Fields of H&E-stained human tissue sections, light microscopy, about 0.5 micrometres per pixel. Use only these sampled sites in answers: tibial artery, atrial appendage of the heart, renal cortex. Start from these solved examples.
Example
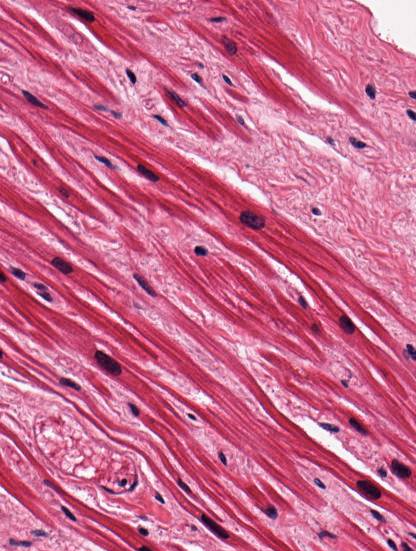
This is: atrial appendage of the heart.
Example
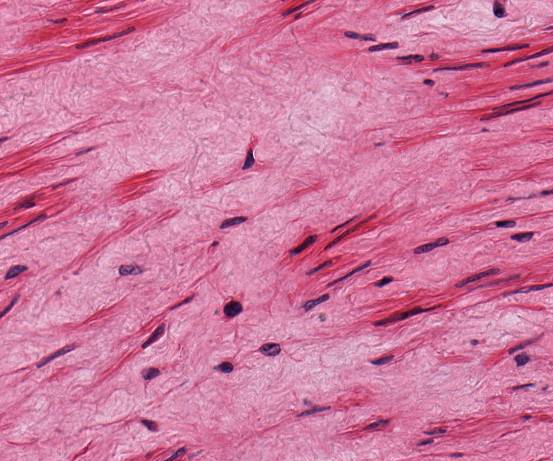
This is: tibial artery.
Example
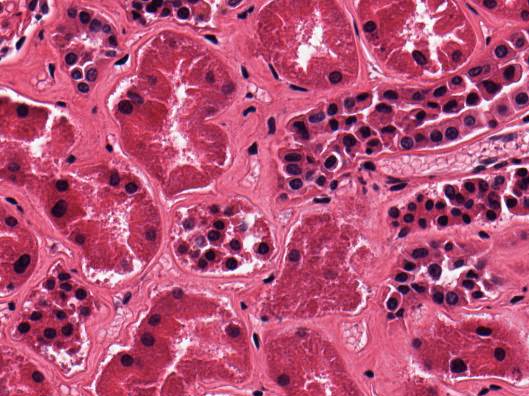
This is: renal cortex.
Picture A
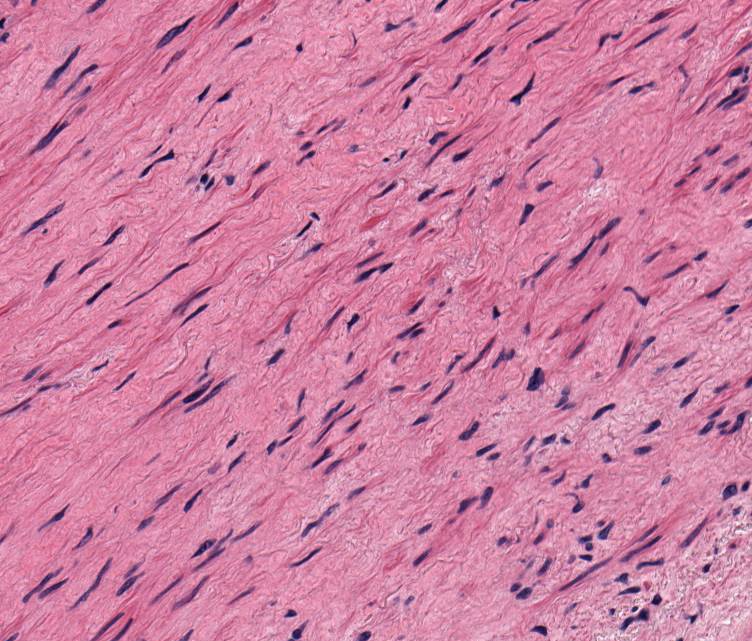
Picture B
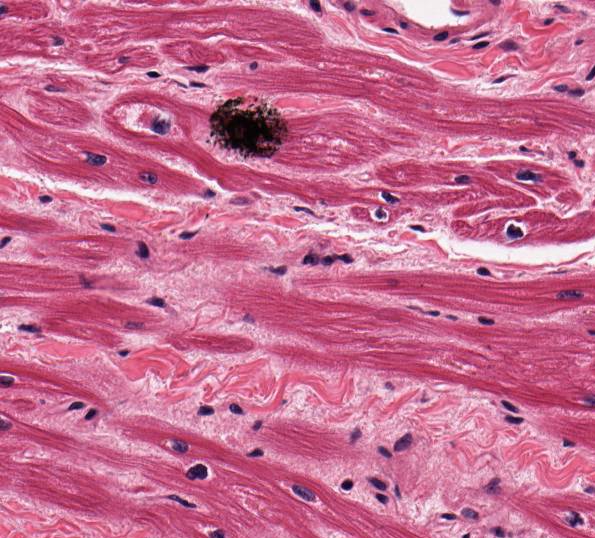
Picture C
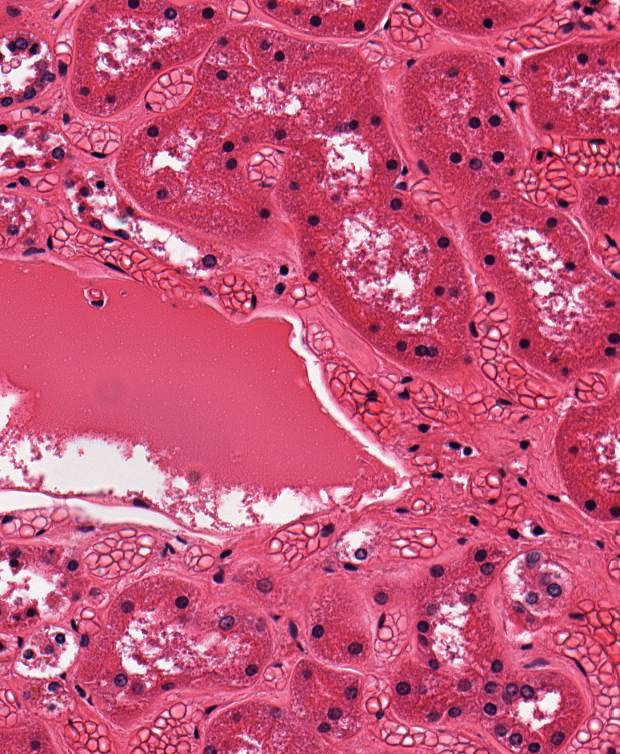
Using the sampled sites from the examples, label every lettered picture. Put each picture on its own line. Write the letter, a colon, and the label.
A: tibial artery.
B: atrial appendage of the heart.
C: renal cortex.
